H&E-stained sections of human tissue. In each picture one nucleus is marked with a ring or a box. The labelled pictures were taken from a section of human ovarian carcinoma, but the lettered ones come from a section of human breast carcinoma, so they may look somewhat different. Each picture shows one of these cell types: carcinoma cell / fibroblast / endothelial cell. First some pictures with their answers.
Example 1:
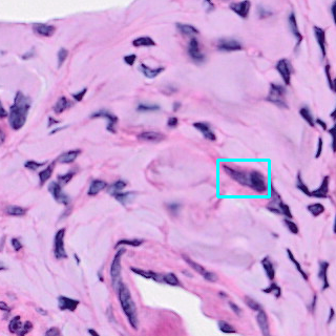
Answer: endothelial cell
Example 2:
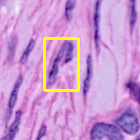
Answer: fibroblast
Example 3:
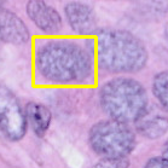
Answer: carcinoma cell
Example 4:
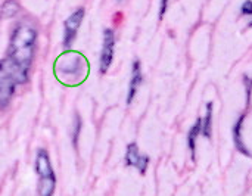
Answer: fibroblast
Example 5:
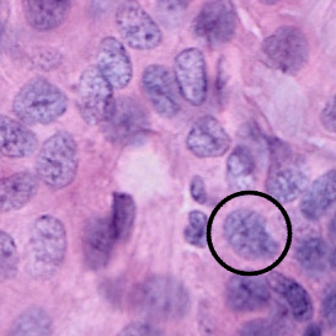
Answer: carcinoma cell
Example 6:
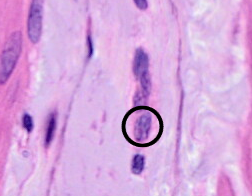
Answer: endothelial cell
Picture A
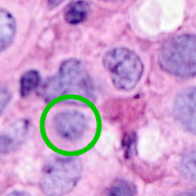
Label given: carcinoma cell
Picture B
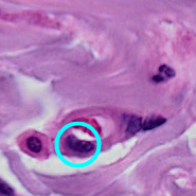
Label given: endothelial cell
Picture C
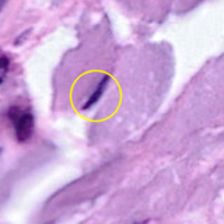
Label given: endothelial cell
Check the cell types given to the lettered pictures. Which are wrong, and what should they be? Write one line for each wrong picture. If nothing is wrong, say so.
C is labelled endothelial cell; correct label: fibroblast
